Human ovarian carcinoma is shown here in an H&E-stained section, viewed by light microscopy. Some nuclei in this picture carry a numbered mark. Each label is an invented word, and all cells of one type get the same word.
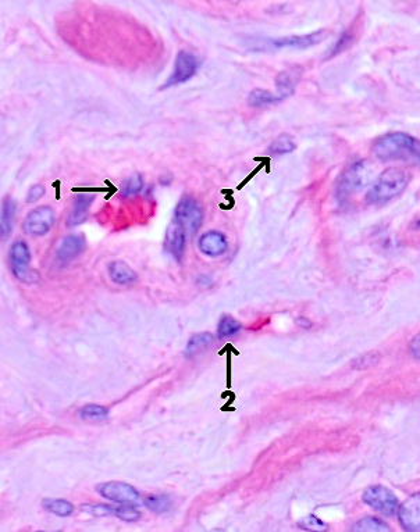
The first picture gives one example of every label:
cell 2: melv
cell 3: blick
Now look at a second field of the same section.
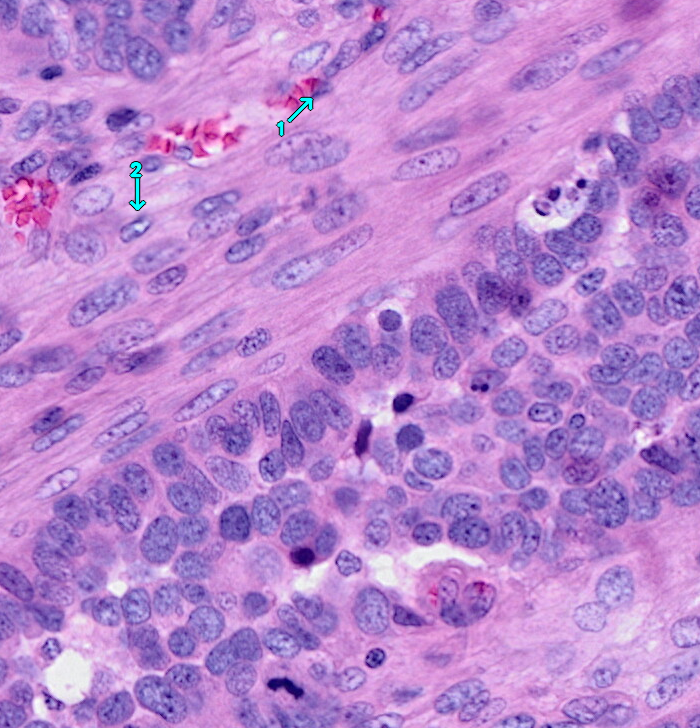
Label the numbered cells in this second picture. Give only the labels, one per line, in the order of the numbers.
melv
blick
